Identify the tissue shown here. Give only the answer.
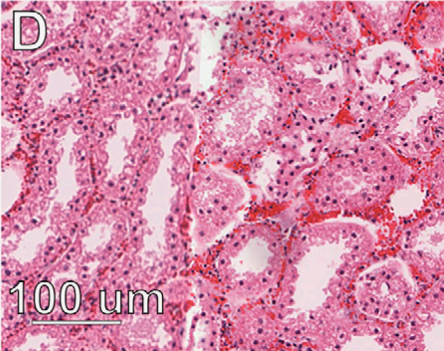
kidney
